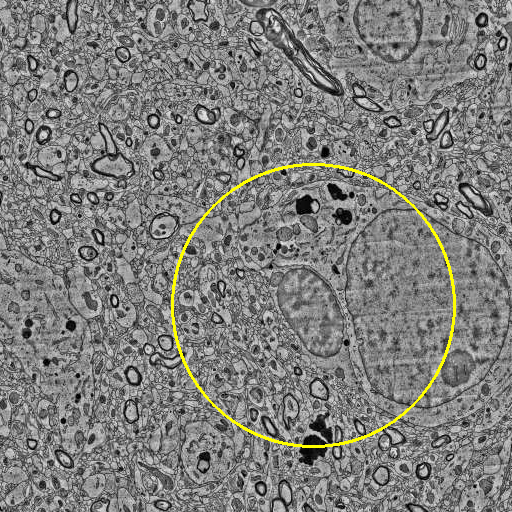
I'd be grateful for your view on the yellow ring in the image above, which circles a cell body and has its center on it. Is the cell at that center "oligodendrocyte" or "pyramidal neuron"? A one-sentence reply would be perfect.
The cell at the center of the yellow ring is an oligodendrocyte.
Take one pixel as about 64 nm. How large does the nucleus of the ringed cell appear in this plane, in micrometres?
The nucleus measures about 6 by 3 micrometres, so it is clearly longer than it is wide in this plane.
